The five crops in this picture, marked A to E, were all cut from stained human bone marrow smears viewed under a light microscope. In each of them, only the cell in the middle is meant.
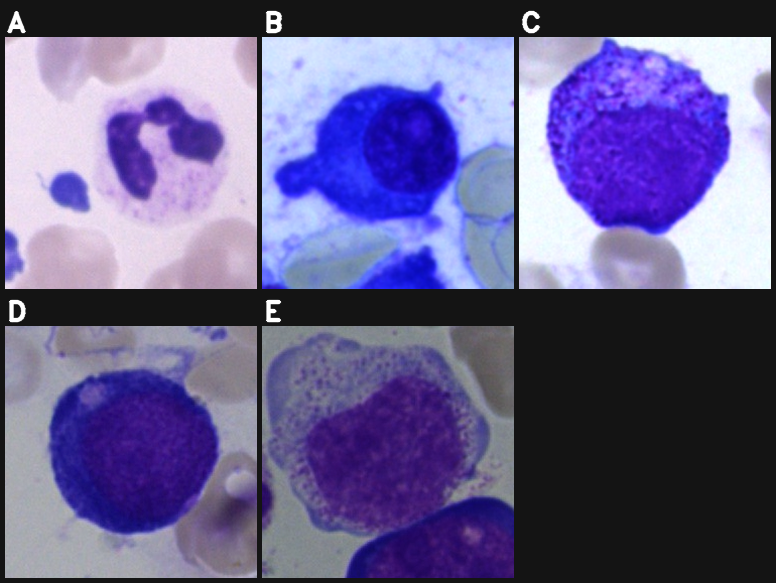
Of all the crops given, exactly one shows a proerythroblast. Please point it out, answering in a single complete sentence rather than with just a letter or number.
It is crop D that shows a proerythroblast.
